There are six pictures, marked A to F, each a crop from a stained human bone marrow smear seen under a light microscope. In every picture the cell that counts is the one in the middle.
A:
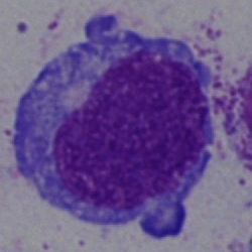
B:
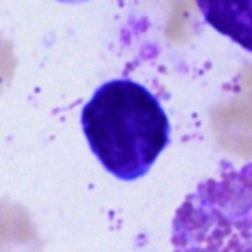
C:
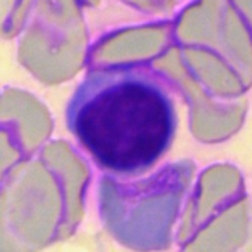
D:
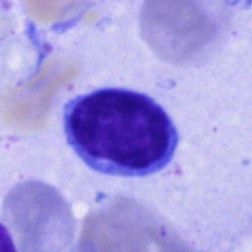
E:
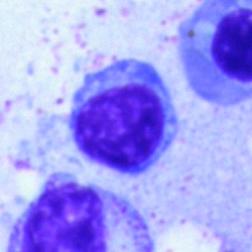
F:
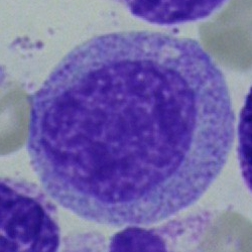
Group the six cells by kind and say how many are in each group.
lymphocyte: 4
promyelocyte: 2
